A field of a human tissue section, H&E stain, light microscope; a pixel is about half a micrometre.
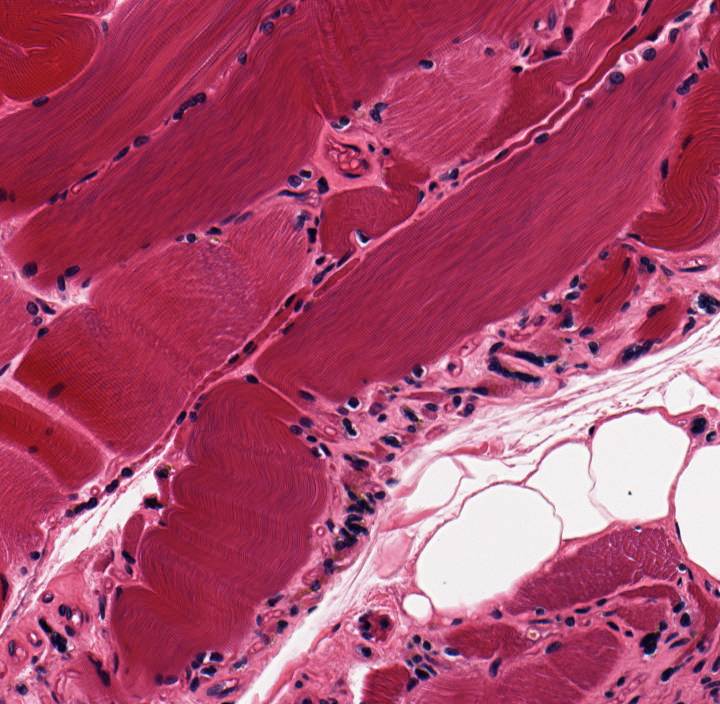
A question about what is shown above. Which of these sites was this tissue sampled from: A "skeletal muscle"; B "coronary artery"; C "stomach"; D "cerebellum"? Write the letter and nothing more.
A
